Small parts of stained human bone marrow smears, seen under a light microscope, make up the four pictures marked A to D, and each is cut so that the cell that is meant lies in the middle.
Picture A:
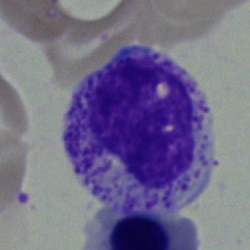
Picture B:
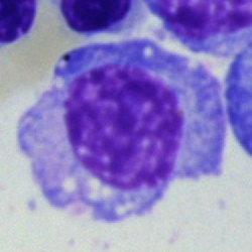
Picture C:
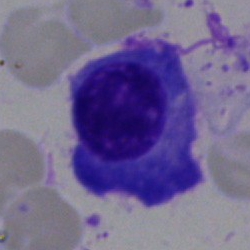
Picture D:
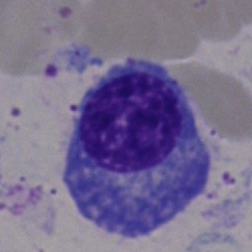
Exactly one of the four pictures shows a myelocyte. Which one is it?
A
